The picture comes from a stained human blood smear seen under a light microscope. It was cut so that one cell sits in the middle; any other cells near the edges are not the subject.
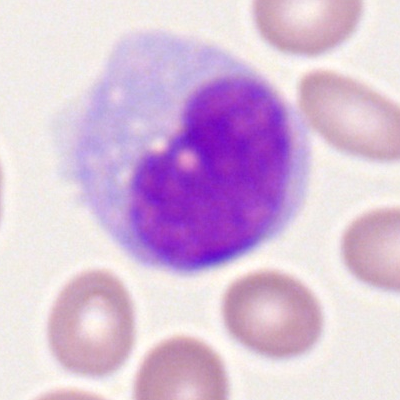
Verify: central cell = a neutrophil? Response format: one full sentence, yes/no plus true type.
No, the label for the central cell is a monocyte, not a neutrophil.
